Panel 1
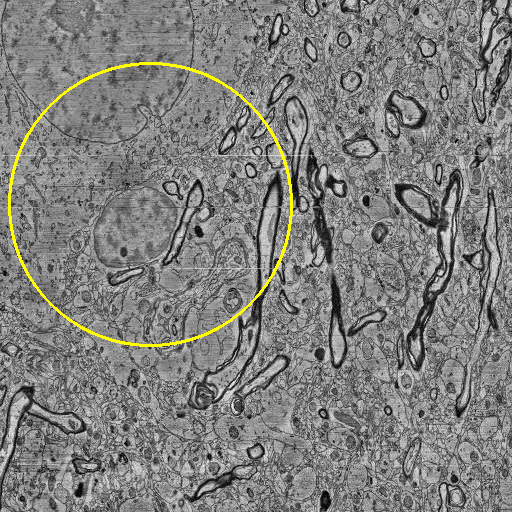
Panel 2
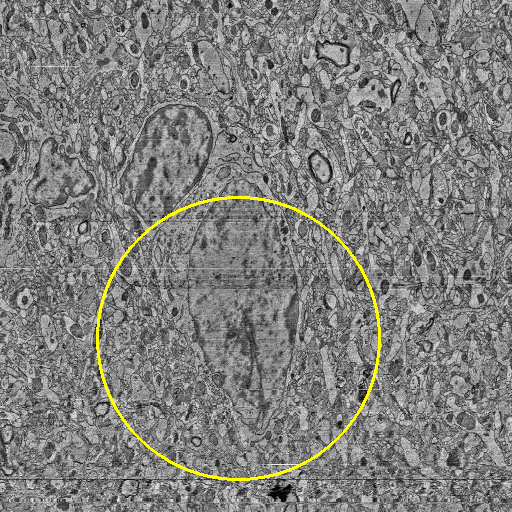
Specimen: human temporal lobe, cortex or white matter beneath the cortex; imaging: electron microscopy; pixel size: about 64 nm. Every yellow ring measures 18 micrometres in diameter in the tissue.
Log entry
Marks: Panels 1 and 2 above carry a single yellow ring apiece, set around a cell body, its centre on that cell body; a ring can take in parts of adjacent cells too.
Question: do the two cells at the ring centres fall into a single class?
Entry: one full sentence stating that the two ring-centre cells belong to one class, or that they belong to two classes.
The two ring-centre cells in Panels 1 and 2 belong to two classes.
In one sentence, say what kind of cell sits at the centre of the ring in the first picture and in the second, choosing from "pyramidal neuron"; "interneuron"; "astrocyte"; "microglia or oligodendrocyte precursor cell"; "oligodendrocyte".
The first picture's ringed cell is an oligodendrocyte, while the second picture's is an interneuron.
